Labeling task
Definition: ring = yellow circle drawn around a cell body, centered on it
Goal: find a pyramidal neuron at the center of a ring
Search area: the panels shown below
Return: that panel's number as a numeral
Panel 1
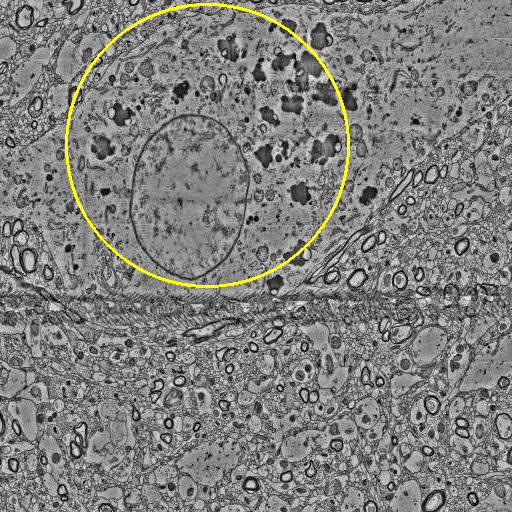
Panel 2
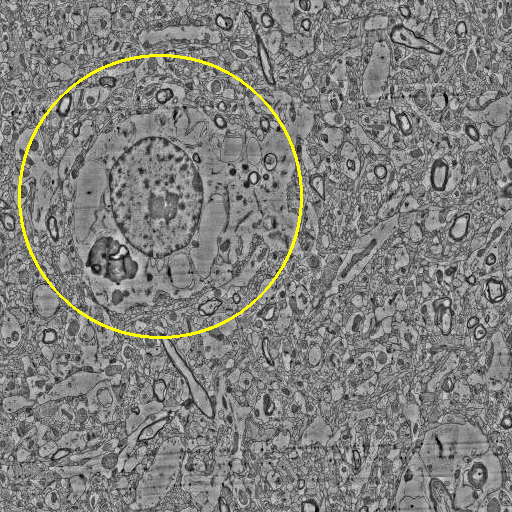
1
